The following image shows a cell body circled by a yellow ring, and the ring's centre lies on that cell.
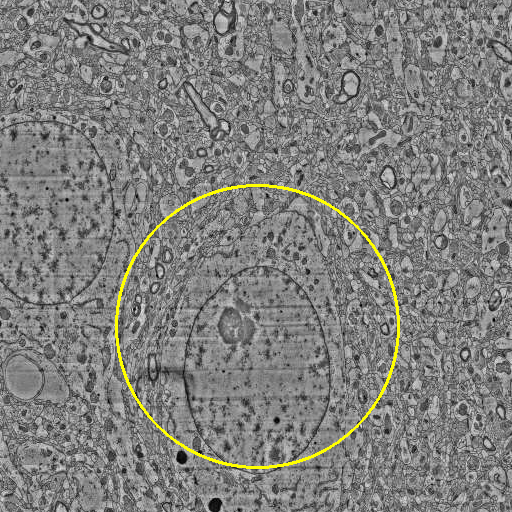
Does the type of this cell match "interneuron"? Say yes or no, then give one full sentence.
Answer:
No, the cell at the ring's centre in this picture has a different type.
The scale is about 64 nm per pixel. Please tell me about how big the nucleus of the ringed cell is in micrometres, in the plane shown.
About 13 by 10 micrometres in this plane.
